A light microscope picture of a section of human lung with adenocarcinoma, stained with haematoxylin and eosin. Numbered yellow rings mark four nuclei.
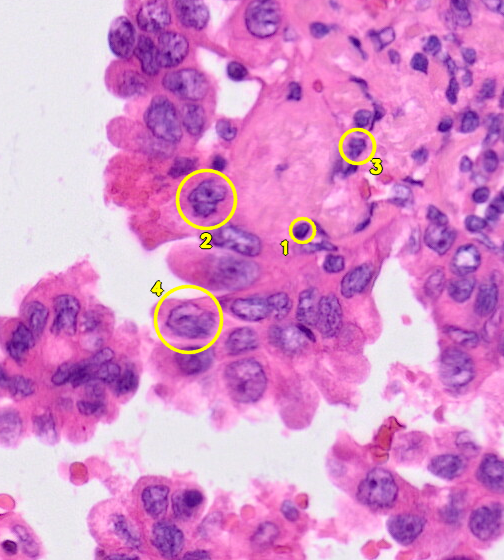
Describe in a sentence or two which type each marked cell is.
Cell 1 is a lymphocyte, cell 2 is a carcinoma cell, cell 3 is a lymphocyte and cell 4 is a carcinoma cell.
